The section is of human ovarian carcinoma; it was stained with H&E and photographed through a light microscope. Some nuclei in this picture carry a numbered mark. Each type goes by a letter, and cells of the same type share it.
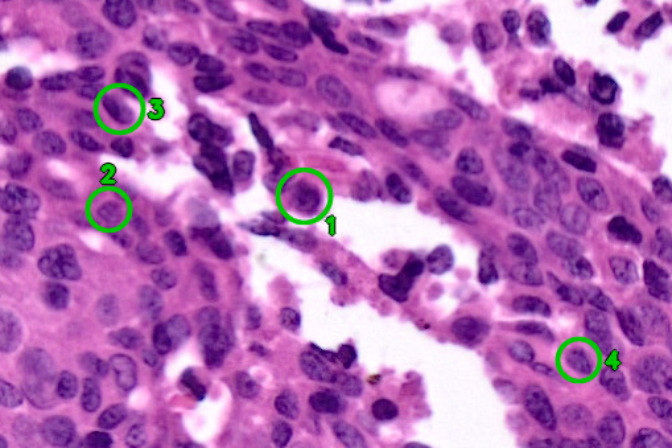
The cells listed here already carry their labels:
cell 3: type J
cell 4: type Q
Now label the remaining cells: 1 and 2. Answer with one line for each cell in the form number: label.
1: type J
2: type J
